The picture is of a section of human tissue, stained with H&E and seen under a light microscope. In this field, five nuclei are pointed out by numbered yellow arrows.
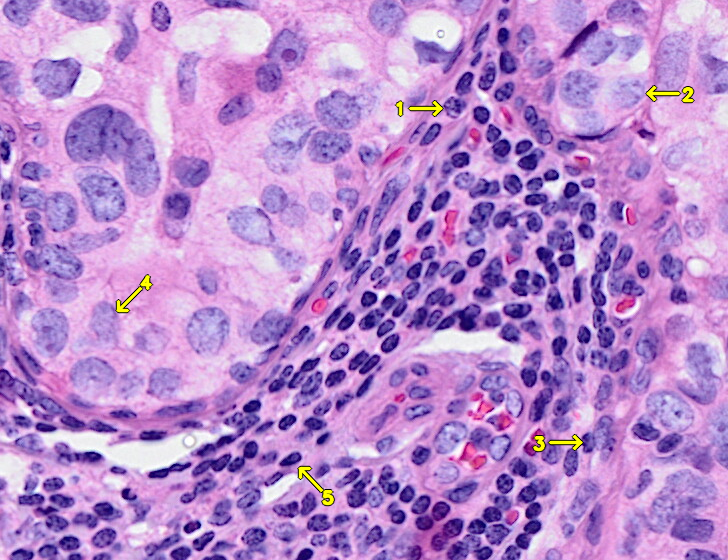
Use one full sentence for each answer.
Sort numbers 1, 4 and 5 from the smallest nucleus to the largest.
Smallest first, the nuclei run 5, 1, 4.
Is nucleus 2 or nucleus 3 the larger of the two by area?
It is nucleus 2, which covers about 3 times the area of nucleus 3.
